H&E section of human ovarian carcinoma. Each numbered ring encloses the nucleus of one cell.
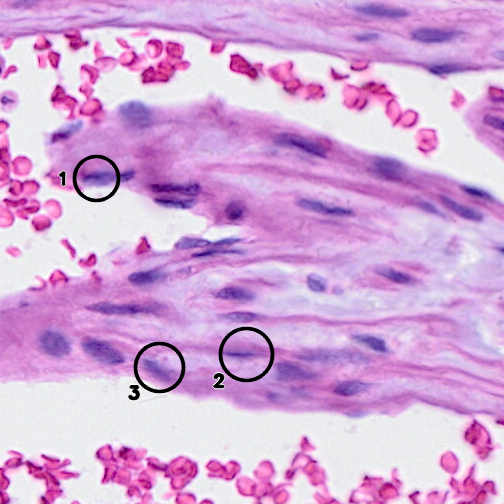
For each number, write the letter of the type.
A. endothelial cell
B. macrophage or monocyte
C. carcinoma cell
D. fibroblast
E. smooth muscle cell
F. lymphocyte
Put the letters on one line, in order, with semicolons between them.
A; E; A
